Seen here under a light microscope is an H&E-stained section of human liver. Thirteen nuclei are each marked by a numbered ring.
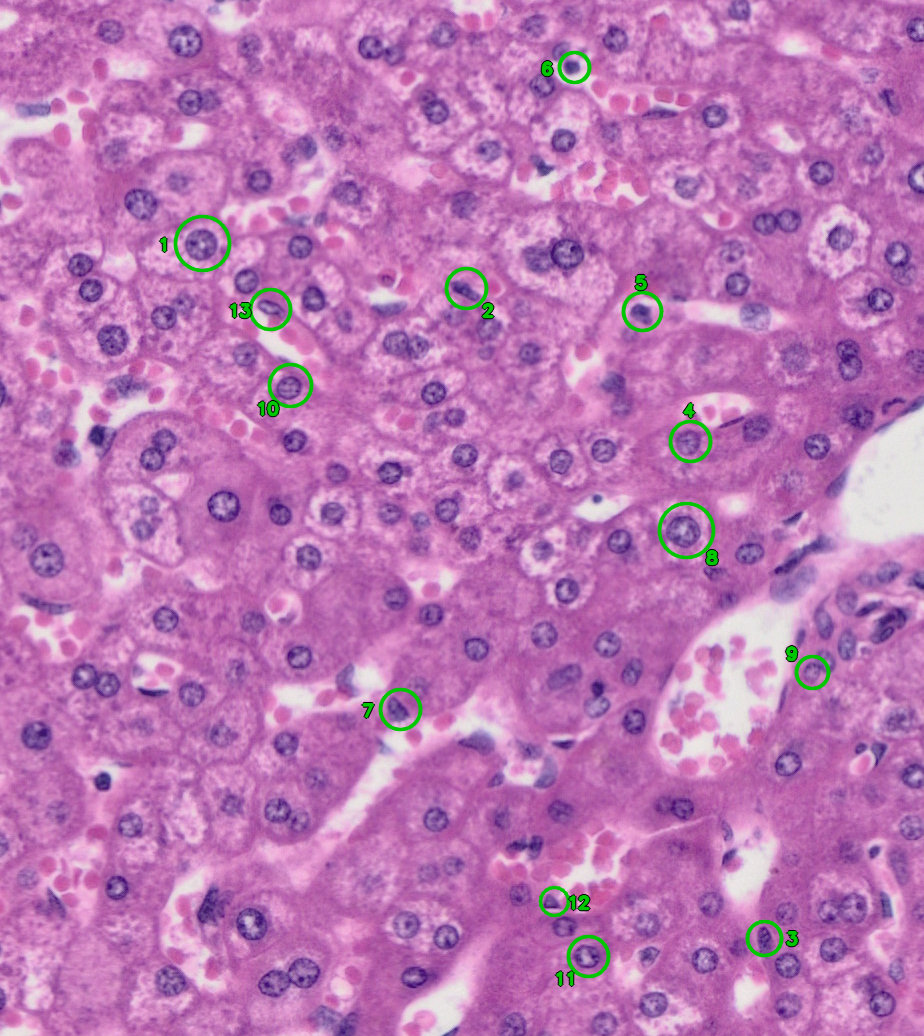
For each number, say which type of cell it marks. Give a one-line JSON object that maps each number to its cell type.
{"1": "hepatocyte", "2": "fibroblast or stellate cell", "3": "fibroblast or stellate cell", "4": "hepatocyte", "5": "lymphocyte", "6": "lymphocyte", "7": "fibroblast or stellate cell", "8": "hepatocyte", "9": "cholangiocyte", "10": "hepatocyte", "11": "hepatocyte", "12": "fibroblast or stellate cell", "13": "Kupffer cell"}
